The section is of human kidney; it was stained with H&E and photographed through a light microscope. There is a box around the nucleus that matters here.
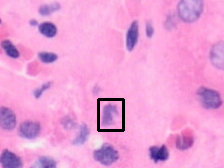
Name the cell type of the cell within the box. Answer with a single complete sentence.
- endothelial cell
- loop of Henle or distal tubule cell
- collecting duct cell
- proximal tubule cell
In short, the cell within the box on this section is a loop of Henle or distal tubule cell.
